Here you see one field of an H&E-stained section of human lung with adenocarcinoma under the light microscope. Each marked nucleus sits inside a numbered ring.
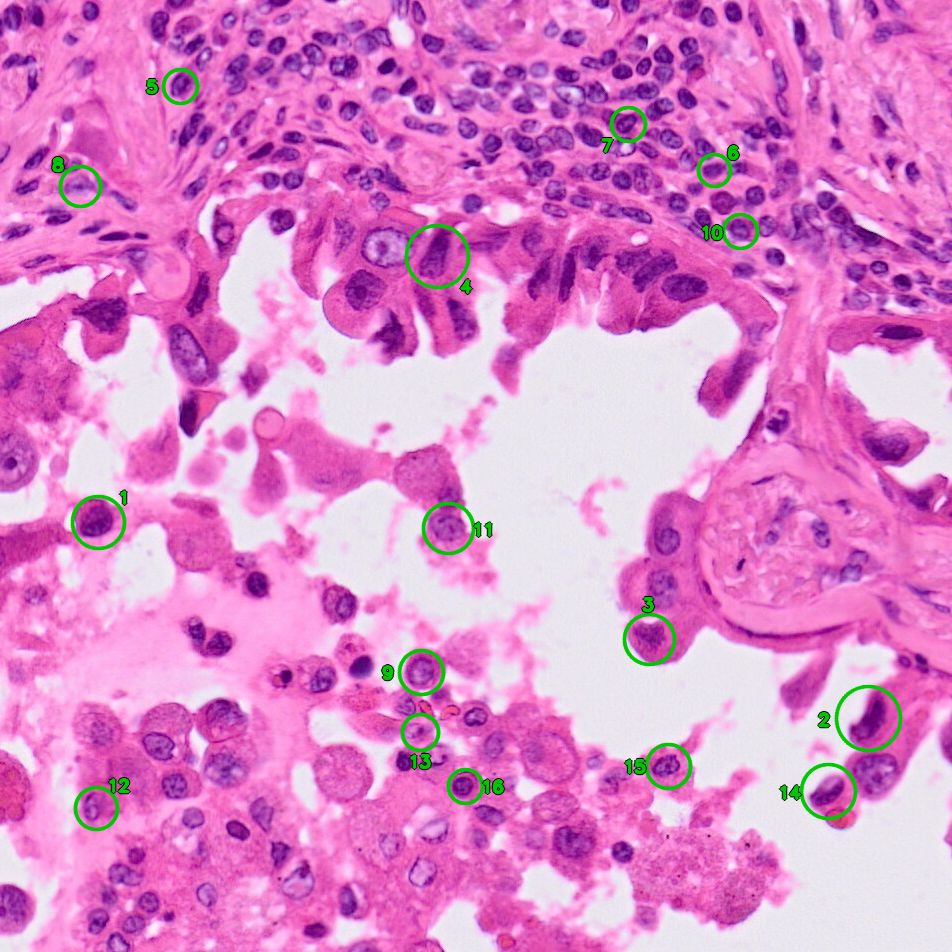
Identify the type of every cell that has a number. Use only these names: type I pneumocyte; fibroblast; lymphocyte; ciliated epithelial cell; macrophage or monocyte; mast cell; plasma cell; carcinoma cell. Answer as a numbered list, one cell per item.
1. carcinoma cell
2. carcinoma cell
3. carcinoma cell
4. carcinoma cell
5. plasma cell
6. lymphocyte
7. plasma cell
8. fibroblast
9. macrophage or monocyte
10. plasma cell
11. macrophage or monocyte
12. macrophage or monocyte
13. macrophage or monocyte
14. carcinoma cell
15. macrophage or monocyte
16. plasma cell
